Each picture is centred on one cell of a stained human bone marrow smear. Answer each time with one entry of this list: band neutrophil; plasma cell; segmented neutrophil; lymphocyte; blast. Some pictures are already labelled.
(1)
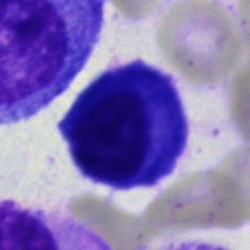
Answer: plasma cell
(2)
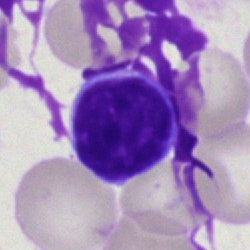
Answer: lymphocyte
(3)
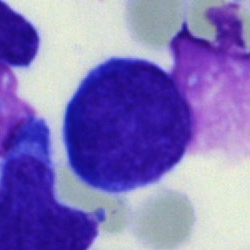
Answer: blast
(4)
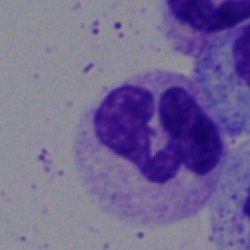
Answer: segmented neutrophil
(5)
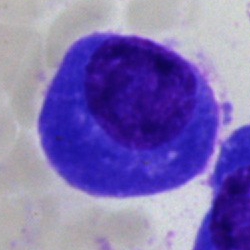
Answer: plasma cell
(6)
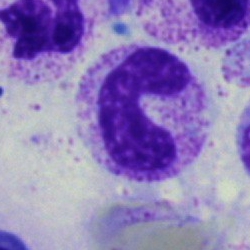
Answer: band neutrophil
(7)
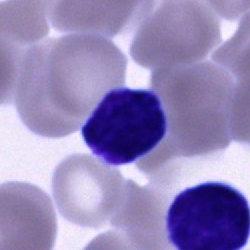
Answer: lymphocyte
